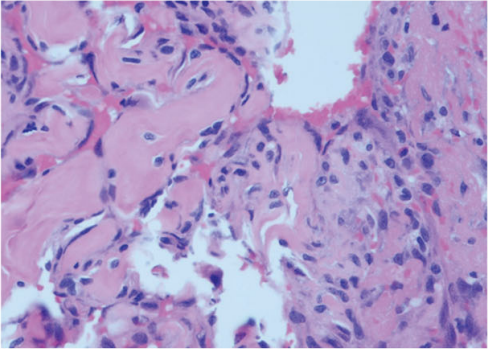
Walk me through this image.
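Papillary proliferations are seen, built of fibrinous and hyaline stalks: glassy, homogeneous pink cores with very few cells within them. Their surfaces are covered by a single layer of endothelial cells with oval to elongated, dark purple nuclei and scant cytoplasm. Between the stalks lie open, clear spaces into which the lined surfaces face. Toward one side the cells are more crowded, with plumper nuclei set in looser pink tissue.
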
